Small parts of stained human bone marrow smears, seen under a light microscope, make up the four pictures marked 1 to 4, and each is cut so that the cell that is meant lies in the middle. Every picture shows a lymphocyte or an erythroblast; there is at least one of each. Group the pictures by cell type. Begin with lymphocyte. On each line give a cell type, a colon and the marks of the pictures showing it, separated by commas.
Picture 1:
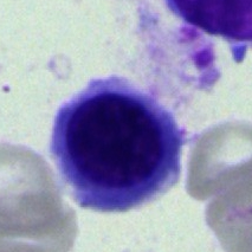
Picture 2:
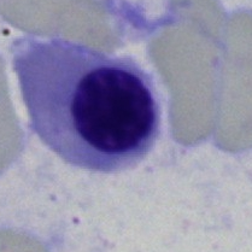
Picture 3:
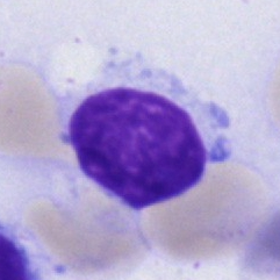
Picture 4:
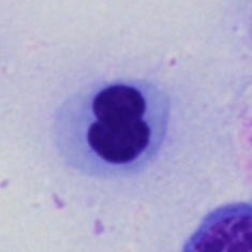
lymphocyte: 3
erythroblast: 1, 2, 4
